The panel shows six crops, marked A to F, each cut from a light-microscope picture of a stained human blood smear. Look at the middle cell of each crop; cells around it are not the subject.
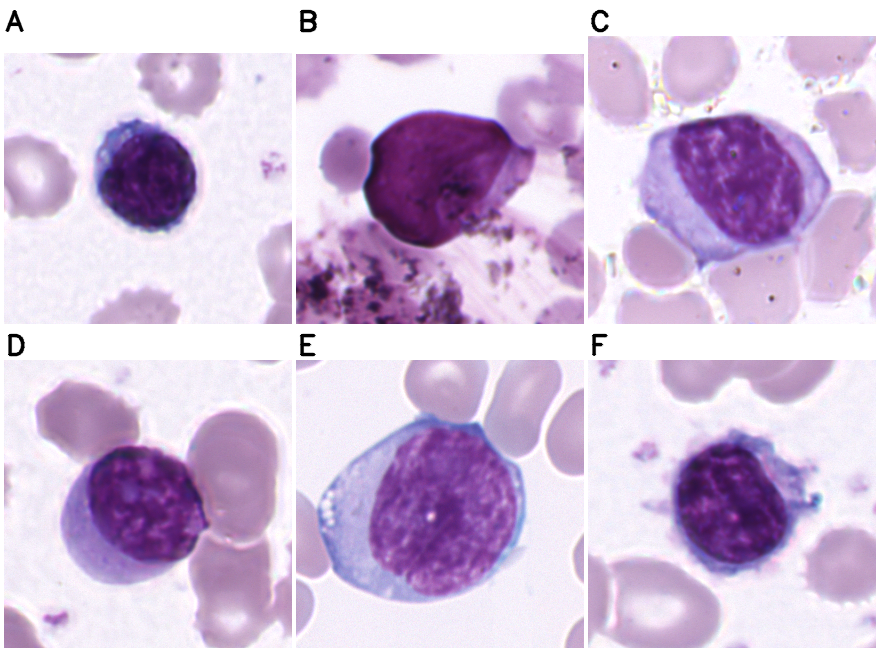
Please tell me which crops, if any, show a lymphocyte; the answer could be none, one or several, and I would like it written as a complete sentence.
Honestly, none of these crops shows a lymphocyte.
